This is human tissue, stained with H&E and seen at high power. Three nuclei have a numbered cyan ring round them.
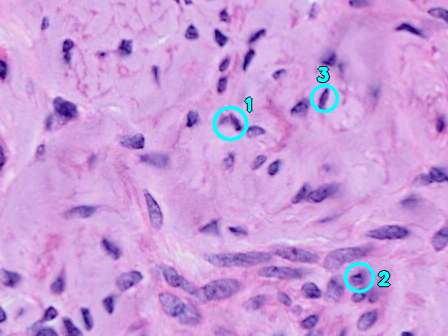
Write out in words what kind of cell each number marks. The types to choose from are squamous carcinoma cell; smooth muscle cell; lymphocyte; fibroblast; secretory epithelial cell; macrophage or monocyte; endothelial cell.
Cells 1 and 3 are fibroblasts. Cell 2 is a smooth muscle cell.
